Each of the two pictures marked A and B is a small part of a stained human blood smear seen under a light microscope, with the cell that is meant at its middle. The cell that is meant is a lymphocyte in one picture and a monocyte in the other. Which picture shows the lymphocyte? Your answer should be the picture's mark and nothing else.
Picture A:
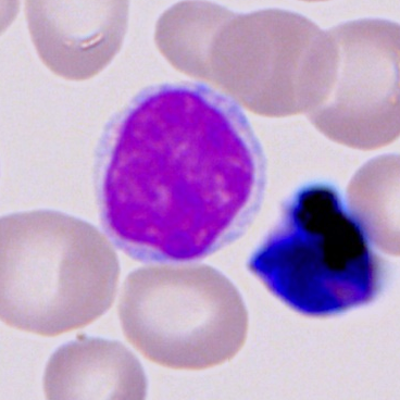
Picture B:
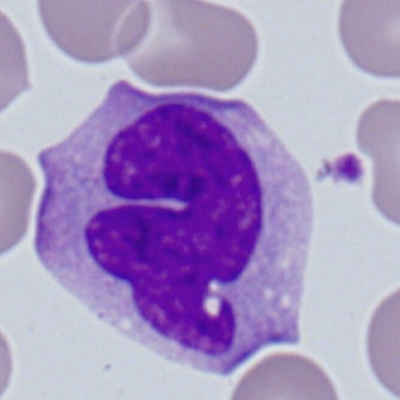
A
